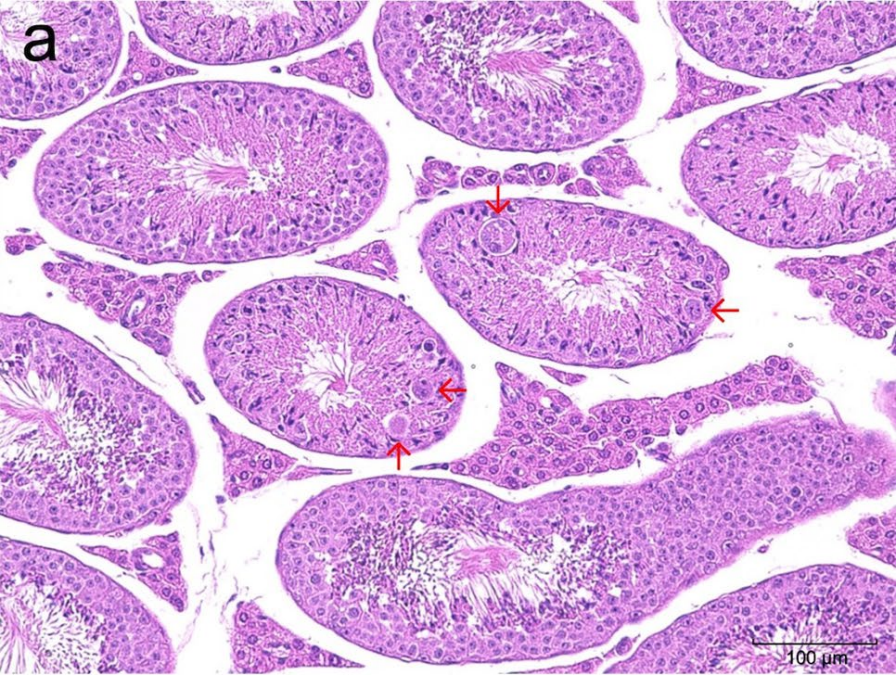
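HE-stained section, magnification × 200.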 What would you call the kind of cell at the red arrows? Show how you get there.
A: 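Multinucleated giant cells. The red arrows point to rounded cells inside the epithelium of the tubules. These cells are larger than the neighbouring germ cells and stand out as round, separate bodies.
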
